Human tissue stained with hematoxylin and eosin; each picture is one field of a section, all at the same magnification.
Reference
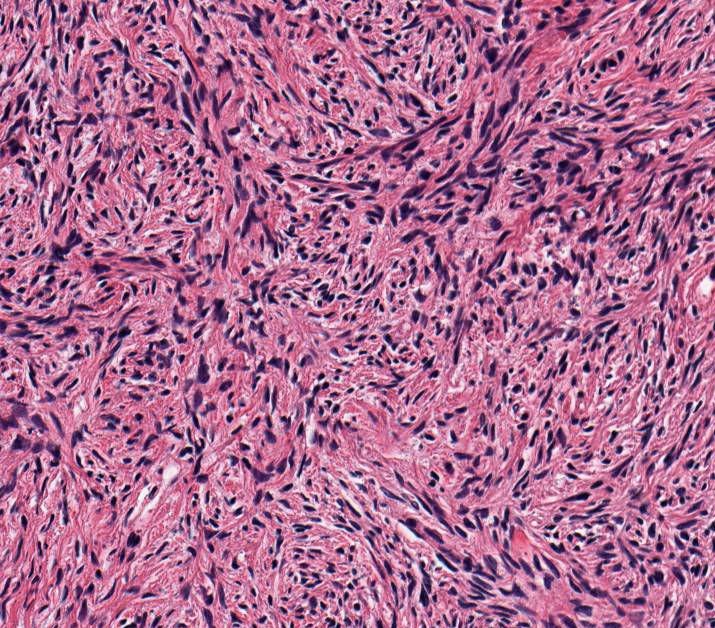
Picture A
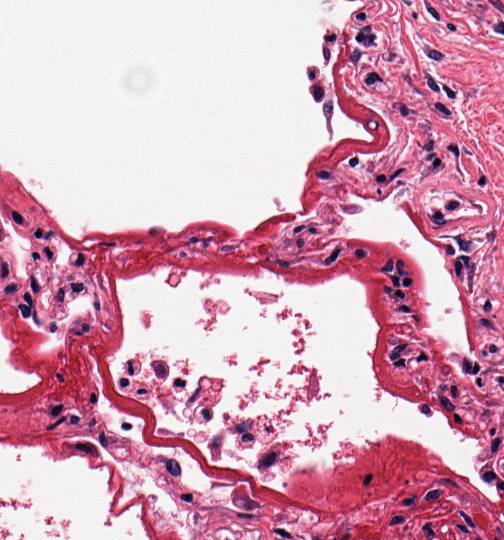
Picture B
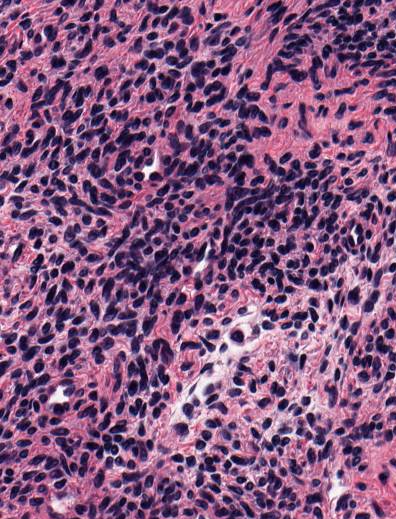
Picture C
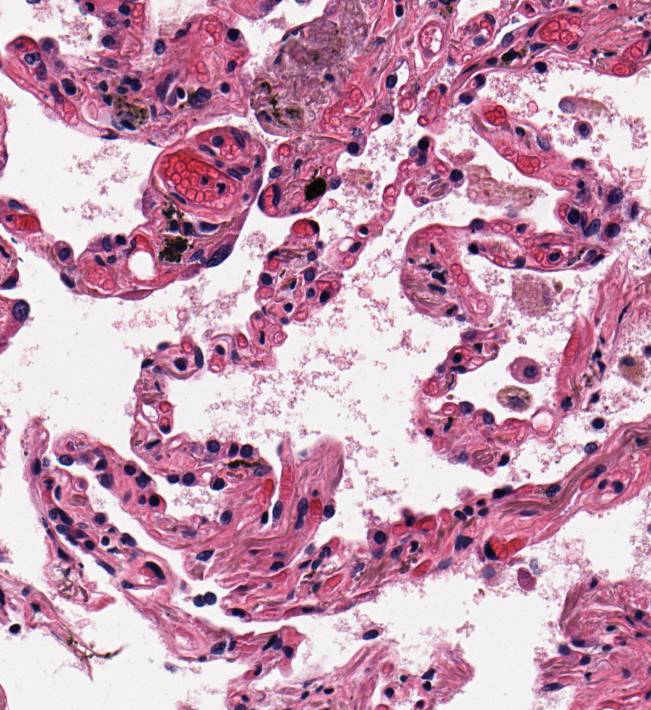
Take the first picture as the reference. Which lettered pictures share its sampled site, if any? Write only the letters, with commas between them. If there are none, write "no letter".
B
